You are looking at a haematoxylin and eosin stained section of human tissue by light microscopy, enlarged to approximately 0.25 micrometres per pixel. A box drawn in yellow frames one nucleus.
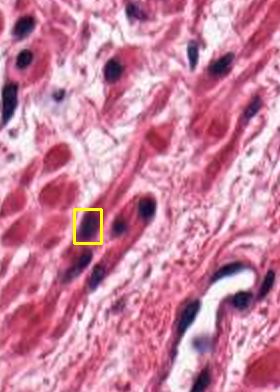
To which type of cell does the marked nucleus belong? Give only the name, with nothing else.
smooth muscle cell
